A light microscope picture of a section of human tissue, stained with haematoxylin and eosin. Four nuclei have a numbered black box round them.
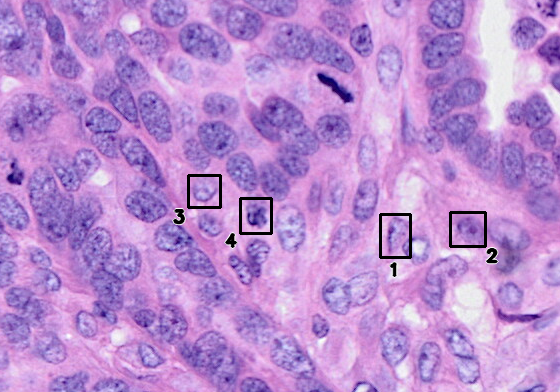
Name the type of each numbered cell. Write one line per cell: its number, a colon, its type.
1: fibroblast
2: fibroblast
3: fibroblast
4: lymphocyte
